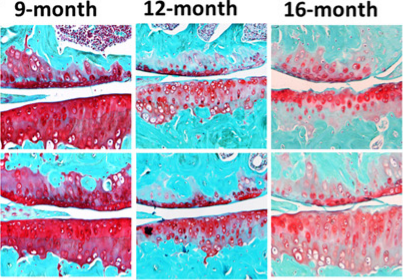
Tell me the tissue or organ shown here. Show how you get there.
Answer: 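Cartilage. Bands of red-stained matrix line facing joint surfaces. Rounded cells sit singly or in small groups within lacunae in the red matrix. Green-stained tissue with marrow spaces lies beneath the red layers.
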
